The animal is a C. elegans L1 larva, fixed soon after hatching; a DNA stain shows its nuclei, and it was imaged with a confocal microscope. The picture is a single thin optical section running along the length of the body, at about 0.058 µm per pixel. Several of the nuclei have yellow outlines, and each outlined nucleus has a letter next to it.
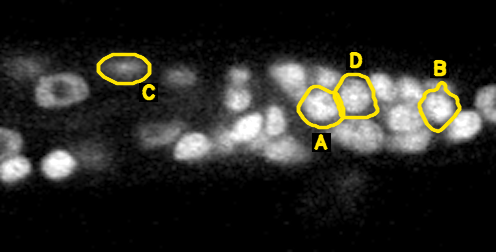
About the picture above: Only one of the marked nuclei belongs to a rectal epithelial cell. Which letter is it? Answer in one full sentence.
It is A that belongs to a rectal epithelial cell.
